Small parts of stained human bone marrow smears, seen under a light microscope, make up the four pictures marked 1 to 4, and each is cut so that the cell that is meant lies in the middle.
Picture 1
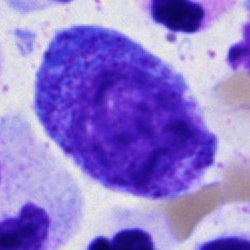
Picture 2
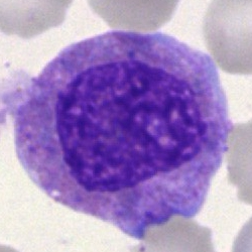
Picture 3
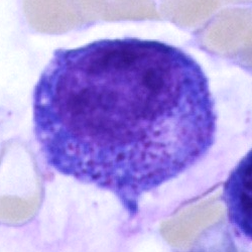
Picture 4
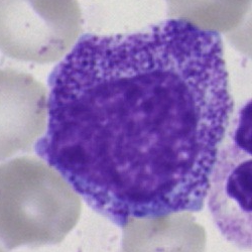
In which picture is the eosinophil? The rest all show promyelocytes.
2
